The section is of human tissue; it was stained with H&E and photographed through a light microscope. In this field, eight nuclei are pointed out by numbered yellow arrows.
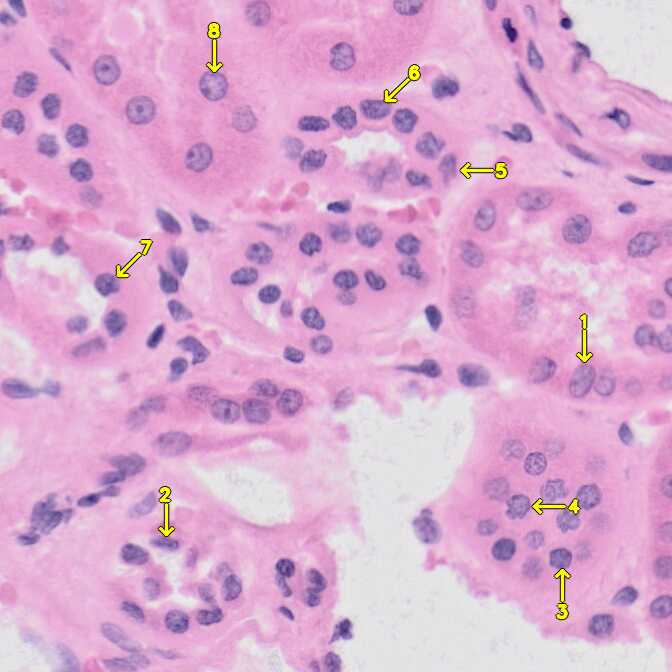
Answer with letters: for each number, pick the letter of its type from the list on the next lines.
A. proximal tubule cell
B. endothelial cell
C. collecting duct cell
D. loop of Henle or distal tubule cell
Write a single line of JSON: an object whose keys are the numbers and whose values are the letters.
{"1": "A", "2": "D", "3": "D", "4": "D", "5": "C", "6": "C", "7": "D", "8": "A"}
